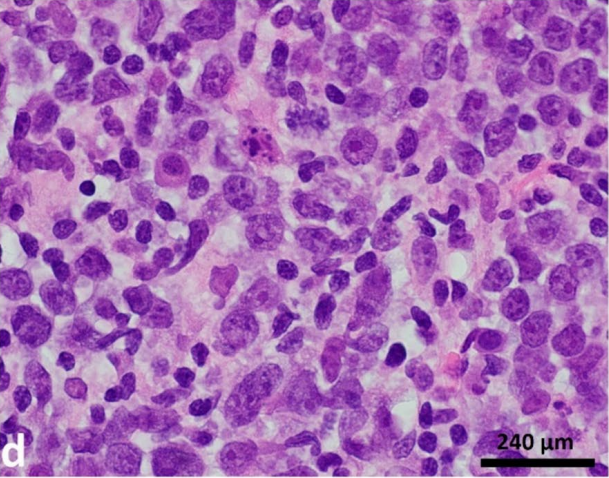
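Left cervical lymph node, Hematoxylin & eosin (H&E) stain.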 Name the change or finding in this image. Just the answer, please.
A: large pleomorphic nuclei with irregular contour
